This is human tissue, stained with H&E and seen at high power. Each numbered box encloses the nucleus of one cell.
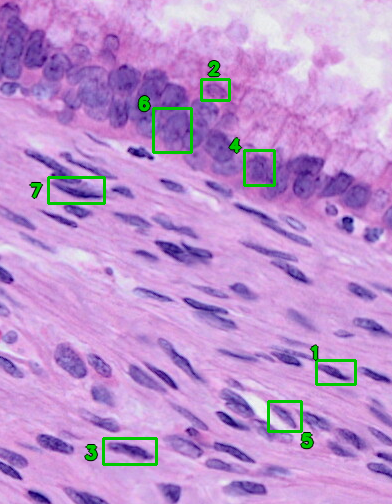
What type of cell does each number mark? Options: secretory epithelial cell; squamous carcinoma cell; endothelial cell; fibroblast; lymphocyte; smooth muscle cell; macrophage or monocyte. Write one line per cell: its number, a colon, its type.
1: fibroblast
2: secretory epithelial cell
3: fibroblast
4: secretory epithelial cell
5: endothelial cell
6: secretory epithelial cell
7: fibroblast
